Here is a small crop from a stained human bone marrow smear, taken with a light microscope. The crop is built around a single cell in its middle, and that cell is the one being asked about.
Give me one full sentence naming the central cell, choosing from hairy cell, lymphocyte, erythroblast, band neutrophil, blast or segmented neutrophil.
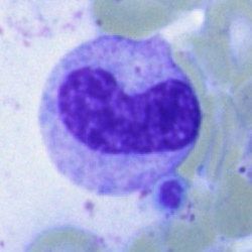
The cell of interest, located centrally, is a band neutrophil.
